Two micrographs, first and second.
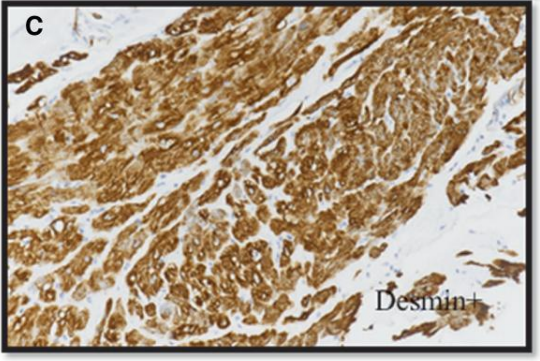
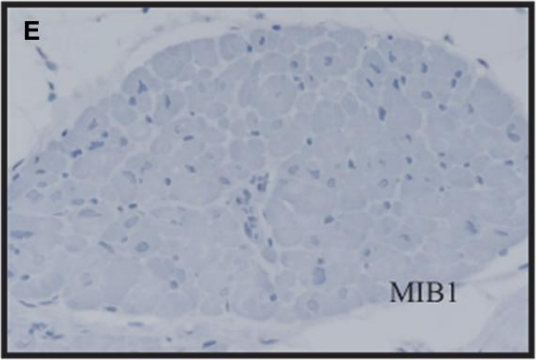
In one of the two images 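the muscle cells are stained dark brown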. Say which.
The first image.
